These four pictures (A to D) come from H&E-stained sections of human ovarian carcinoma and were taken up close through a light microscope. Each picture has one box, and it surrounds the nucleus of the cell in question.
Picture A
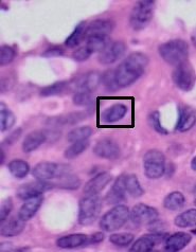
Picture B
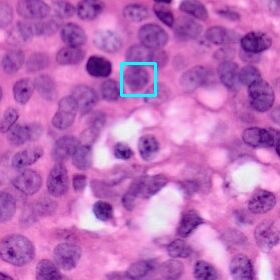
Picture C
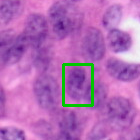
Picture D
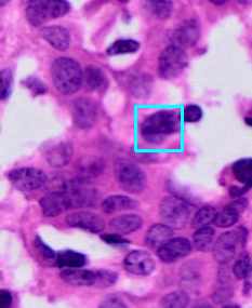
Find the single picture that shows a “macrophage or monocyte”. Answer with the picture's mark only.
A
